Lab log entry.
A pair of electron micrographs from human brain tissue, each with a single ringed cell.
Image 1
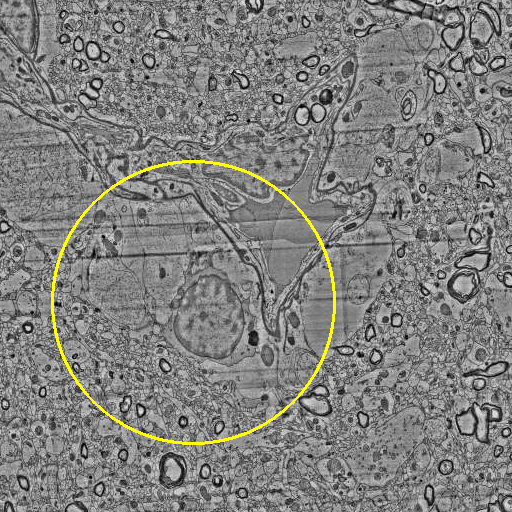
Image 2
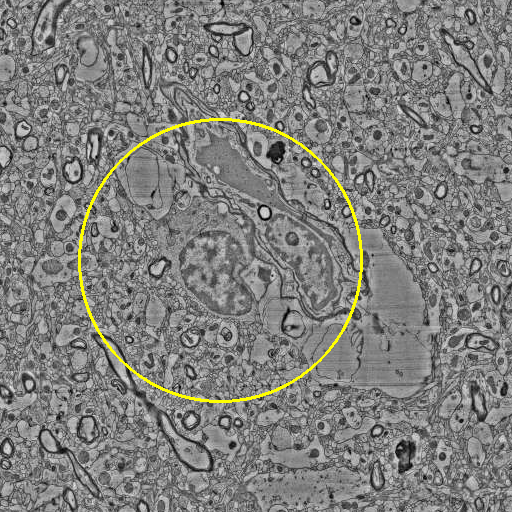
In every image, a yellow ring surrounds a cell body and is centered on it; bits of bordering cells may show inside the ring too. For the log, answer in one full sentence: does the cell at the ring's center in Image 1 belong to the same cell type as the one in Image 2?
Yes, the cells at the ring centers in Image 1 and Image 2 share one type.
